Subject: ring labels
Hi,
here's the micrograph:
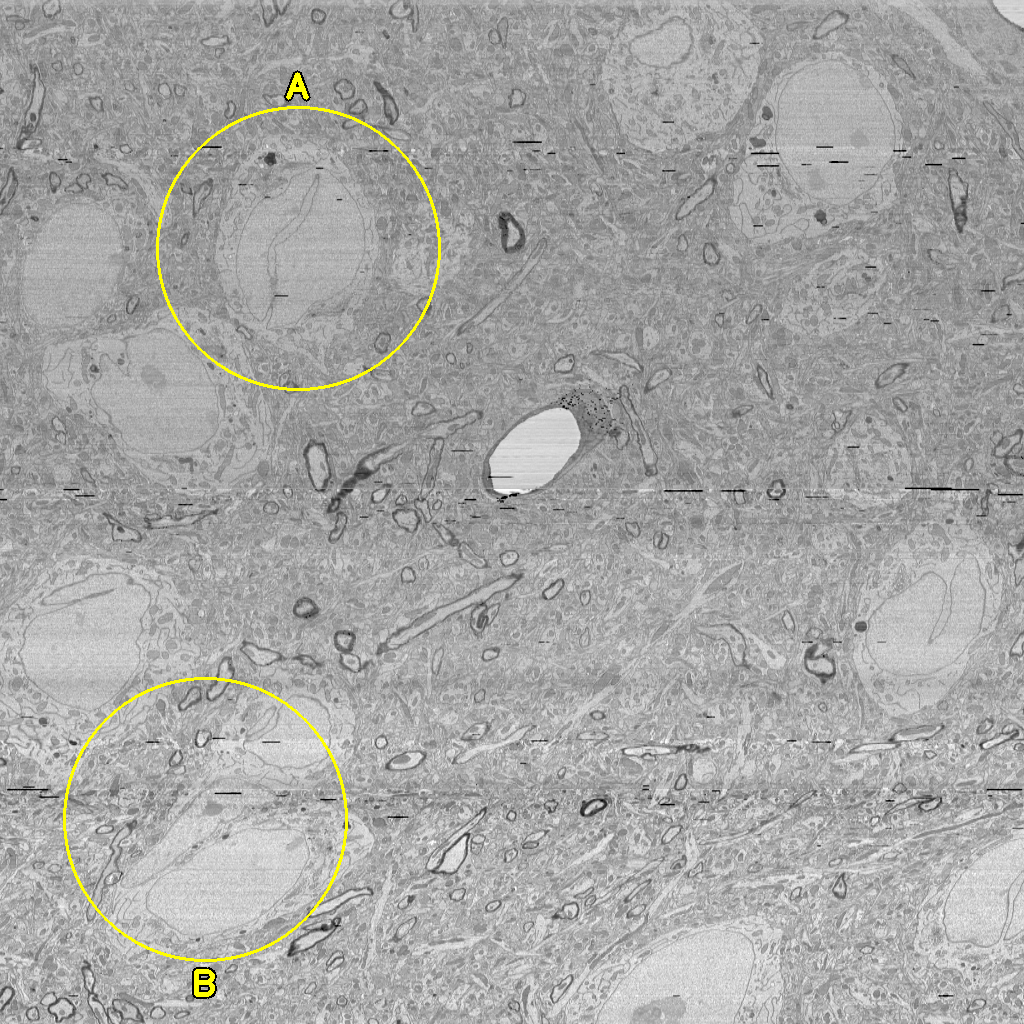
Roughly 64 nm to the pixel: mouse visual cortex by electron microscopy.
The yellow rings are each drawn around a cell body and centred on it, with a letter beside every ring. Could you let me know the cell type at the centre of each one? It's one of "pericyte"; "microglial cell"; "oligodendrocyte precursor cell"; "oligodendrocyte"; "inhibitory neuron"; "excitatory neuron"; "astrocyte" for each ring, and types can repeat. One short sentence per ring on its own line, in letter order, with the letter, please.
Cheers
The type at the centre of ring A is an excitatory neuron.
The type at the centre of ring B is an oligodendrocyte precursor cell.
